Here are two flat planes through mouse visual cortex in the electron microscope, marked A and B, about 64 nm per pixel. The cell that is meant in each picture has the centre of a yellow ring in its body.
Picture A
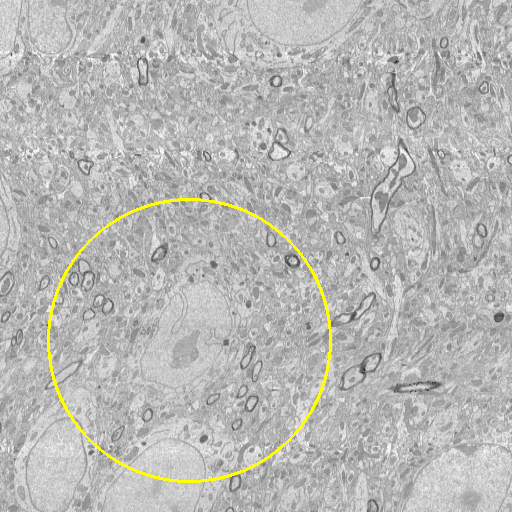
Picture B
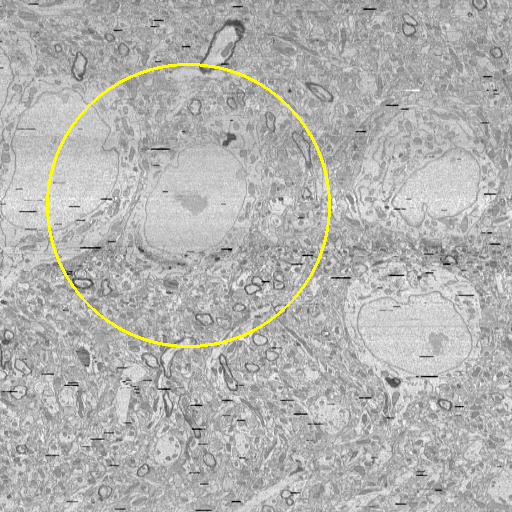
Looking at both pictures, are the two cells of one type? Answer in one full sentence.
No, picture A shows an inhibitory neuron and picture B shows an excitatory neuron.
